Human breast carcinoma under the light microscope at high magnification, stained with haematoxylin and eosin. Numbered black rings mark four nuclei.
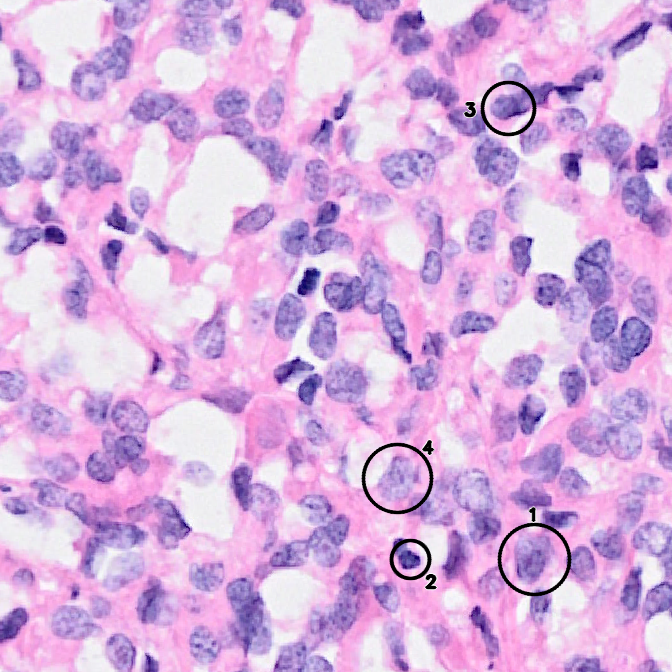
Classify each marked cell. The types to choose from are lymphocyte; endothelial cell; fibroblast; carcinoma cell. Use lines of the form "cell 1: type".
cell 1: carcinoma cell
cell 2: lymphocyte
cell 3: carcinoma cell
cell 4: carcinoma cell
